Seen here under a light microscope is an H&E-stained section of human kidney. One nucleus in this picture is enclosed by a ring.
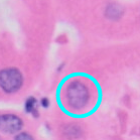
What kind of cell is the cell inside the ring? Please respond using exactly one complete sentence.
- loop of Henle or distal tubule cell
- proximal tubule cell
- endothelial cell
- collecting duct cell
Microscopically, the cell inside the ring is categorized as a proximal tubule cell.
